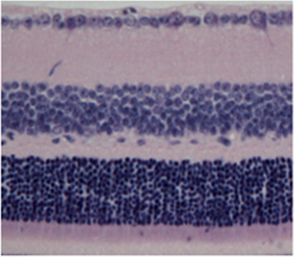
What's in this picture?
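A cross-section of retina shows three layers of purple-stained nuclei separated by pale pink fibrous bands. At the top a single row of larger, rounded nuclei with paler staining lies close together, beneath it a pink band, then a middle layer of several rows of medium nuclei. The bottom layer is the thickest, made of densely packed, small, dark round nuclei above a thin pink band.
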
